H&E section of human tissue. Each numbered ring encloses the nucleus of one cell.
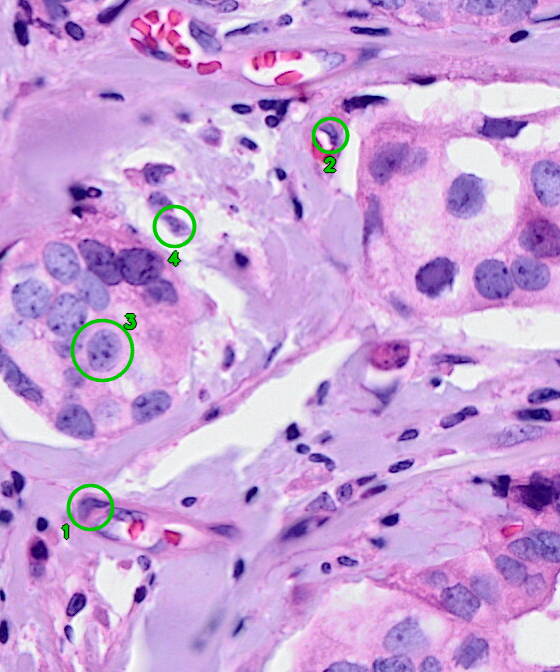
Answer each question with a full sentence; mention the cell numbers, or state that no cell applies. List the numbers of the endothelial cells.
Within the section, cells numbered 1 and 2 are endothelial cells.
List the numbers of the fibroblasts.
Cell 4 alone, of all the numbered cells, is a fibroblast.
